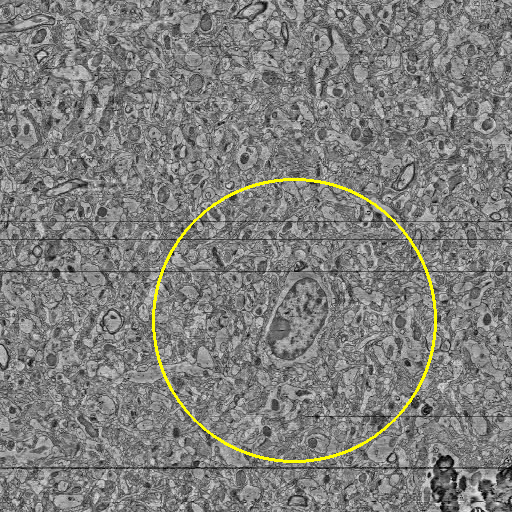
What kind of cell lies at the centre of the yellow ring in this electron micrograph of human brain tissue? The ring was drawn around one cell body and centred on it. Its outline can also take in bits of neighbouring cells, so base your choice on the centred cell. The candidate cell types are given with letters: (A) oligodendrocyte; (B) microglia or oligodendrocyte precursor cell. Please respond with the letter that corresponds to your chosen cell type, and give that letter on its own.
B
